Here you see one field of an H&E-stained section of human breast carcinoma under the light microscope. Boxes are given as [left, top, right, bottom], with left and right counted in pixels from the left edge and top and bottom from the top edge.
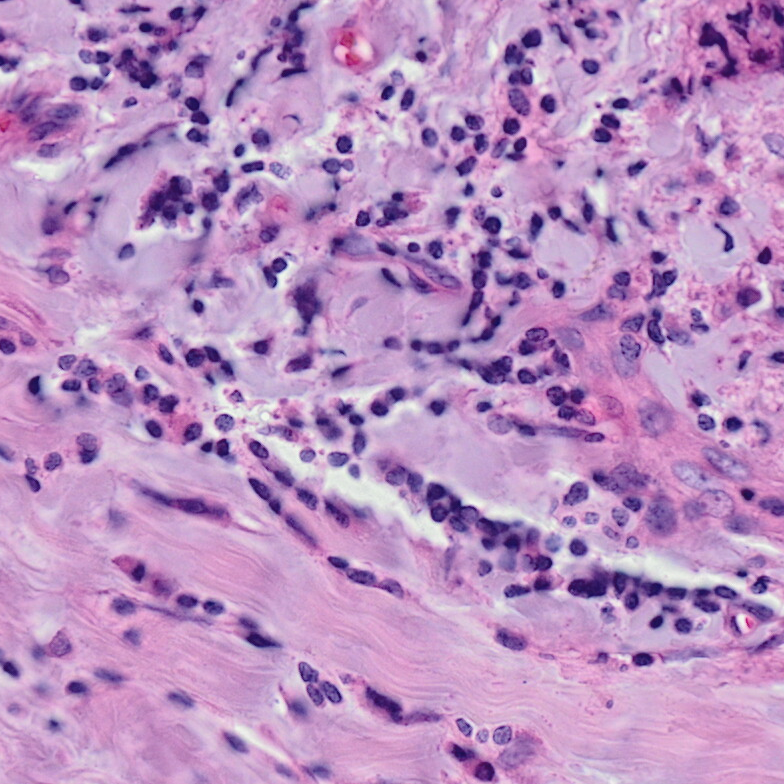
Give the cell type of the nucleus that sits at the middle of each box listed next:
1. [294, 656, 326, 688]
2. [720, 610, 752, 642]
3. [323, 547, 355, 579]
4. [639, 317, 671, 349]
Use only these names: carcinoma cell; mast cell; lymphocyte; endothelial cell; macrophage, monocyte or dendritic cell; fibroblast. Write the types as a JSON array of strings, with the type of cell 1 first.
["lymphocyte", "endothelial cell", "lymphocyte", "lymphocyte"]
